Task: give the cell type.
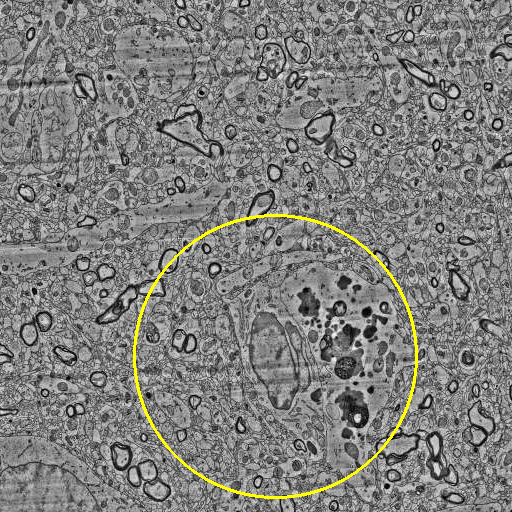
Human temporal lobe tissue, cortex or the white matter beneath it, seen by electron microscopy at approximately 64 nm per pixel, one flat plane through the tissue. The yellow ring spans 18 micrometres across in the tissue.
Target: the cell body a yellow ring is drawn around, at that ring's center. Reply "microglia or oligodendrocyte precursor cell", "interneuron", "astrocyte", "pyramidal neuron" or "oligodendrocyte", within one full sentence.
In this picture, the cell whose body lies at the ring's center is a microglial cell or oligodendrocyte precursor cell.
